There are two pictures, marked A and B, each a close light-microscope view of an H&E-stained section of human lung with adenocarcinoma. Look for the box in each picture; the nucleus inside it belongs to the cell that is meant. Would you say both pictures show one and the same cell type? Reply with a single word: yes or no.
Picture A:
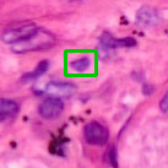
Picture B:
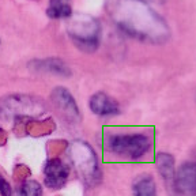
no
